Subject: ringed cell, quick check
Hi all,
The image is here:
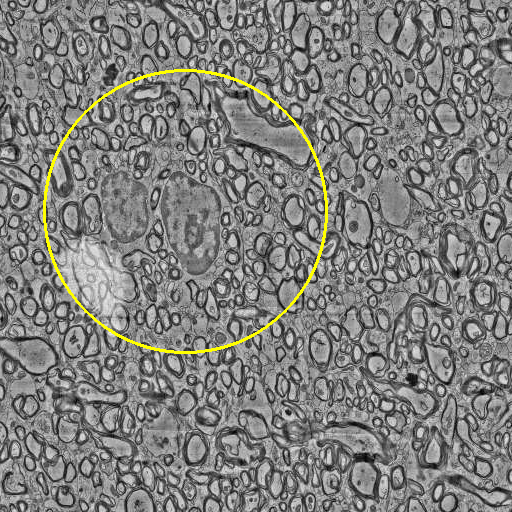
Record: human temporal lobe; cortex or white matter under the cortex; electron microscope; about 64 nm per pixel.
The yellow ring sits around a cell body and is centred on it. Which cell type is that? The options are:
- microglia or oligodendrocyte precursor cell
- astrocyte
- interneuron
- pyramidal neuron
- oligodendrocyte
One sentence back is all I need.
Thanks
That ringed cell is a microglial cell or oligodendrocyte precursor cell.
